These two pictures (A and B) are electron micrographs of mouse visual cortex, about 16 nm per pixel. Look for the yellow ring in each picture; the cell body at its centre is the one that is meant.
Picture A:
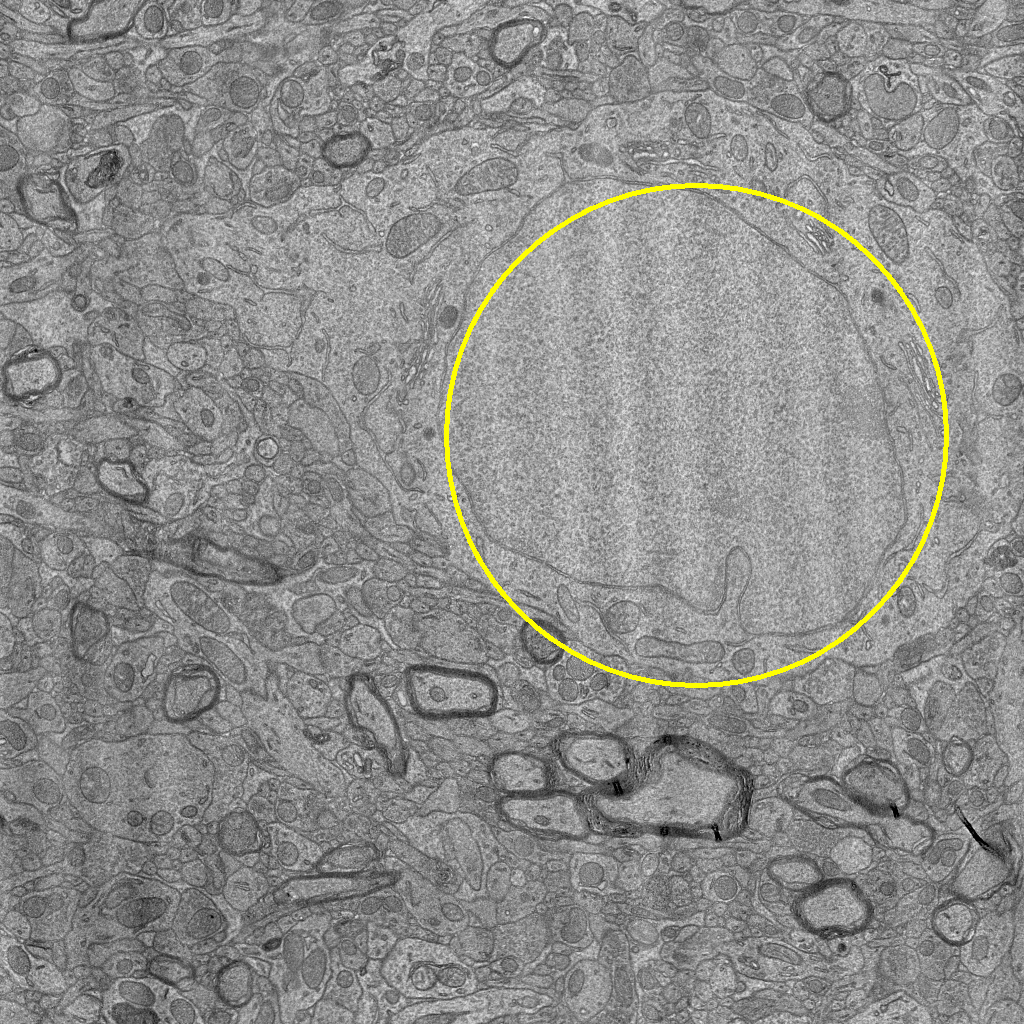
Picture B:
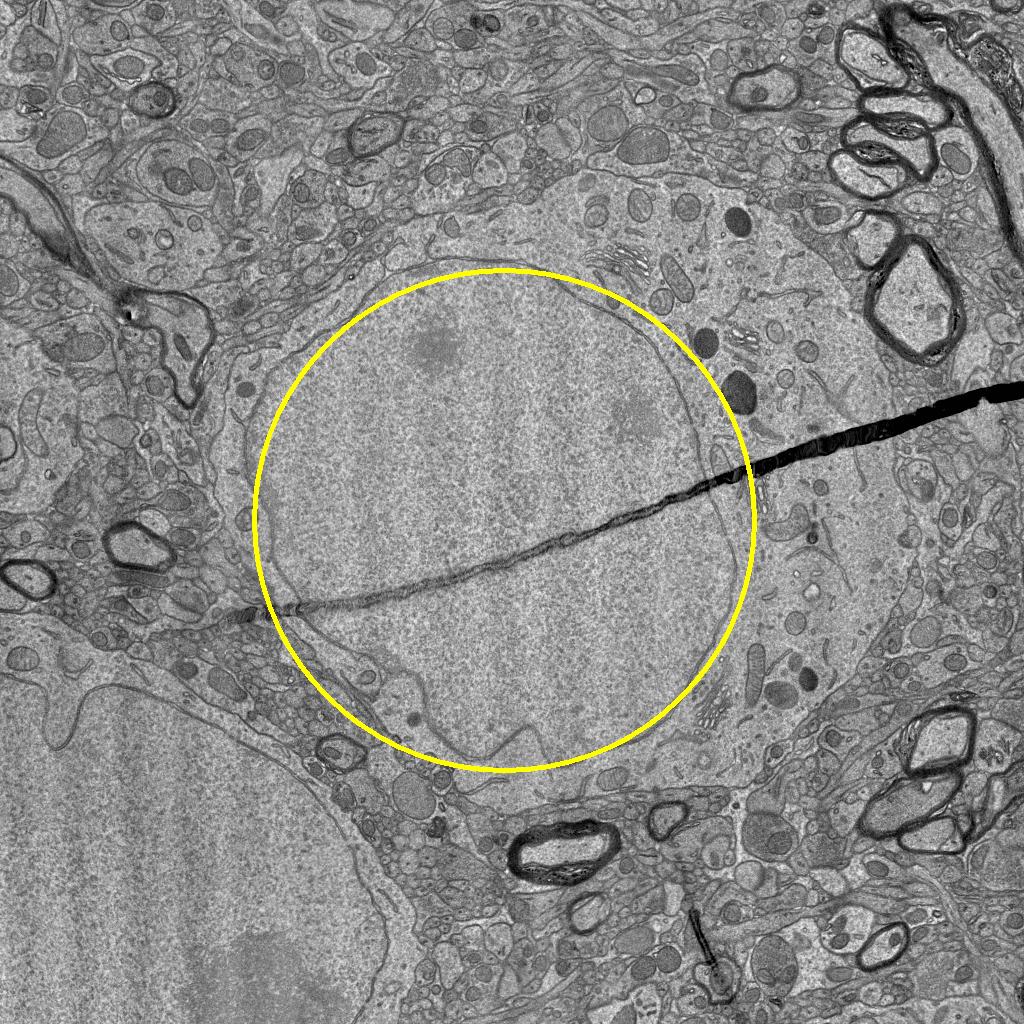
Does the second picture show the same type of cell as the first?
Yes, both cells are excitatory neurons.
